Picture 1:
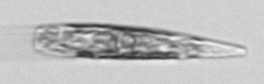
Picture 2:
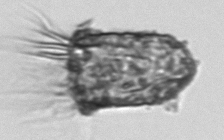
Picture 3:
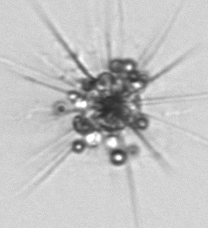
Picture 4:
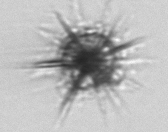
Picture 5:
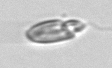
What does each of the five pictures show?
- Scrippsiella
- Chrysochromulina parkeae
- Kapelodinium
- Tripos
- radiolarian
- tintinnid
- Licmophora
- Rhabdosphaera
Picture 1: Licmophora
Picture 2: tintinnid
Picture 3: radiolarian
Picture 4: radiolarian
Picture 5: Kapelodinium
